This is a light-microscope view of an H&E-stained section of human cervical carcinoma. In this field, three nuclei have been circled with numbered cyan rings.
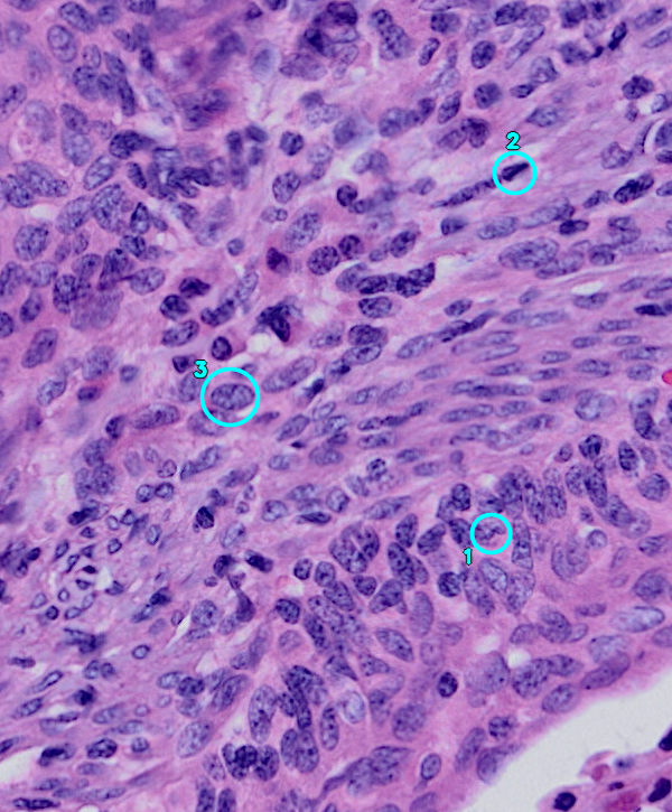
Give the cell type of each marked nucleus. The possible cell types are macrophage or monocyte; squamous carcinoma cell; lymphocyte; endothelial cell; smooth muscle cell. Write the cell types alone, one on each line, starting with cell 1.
squamous carcinoma cell
lymphocyte
endothelial cell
